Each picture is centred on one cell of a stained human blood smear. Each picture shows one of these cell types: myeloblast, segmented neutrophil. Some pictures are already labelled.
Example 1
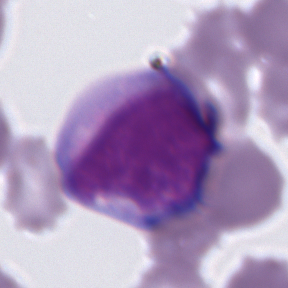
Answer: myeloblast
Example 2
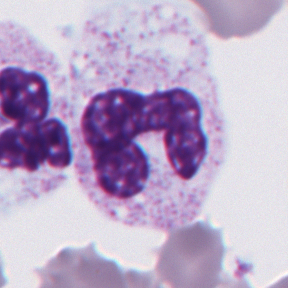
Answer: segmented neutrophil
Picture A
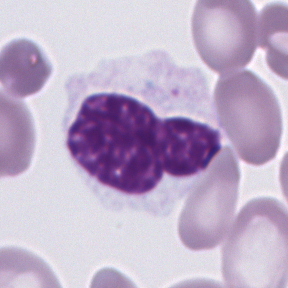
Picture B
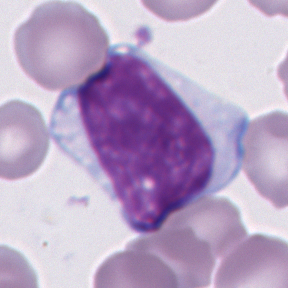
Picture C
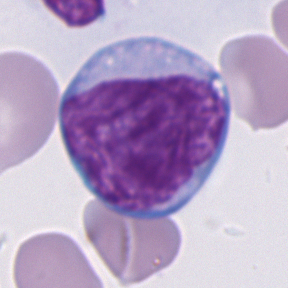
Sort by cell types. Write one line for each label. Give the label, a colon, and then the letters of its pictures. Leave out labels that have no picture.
myeloblast: B, C
segmented neutrophil: A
